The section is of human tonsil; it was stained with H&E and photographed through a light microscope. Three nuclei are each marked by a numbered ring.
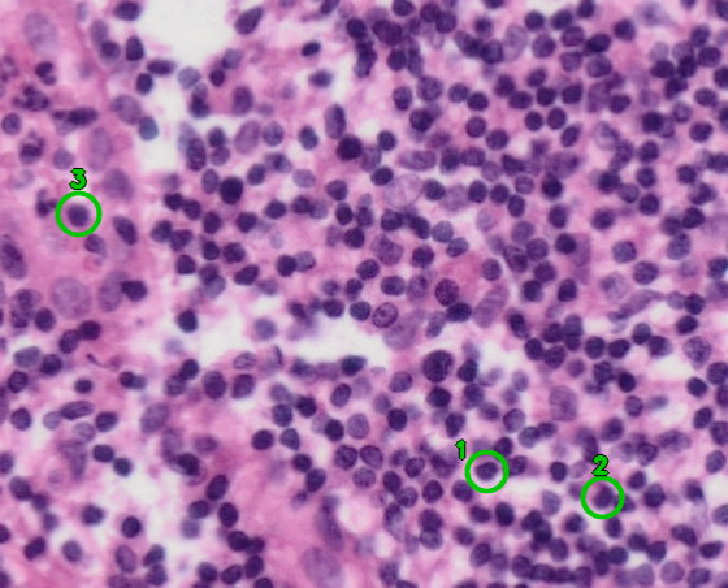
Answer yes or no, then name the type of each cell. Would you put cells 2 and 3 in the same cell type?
No, cell 2 is a small lymphocyte and cell 3 is an endothelial cell.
